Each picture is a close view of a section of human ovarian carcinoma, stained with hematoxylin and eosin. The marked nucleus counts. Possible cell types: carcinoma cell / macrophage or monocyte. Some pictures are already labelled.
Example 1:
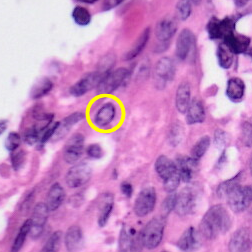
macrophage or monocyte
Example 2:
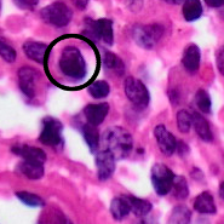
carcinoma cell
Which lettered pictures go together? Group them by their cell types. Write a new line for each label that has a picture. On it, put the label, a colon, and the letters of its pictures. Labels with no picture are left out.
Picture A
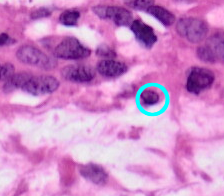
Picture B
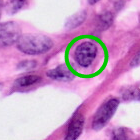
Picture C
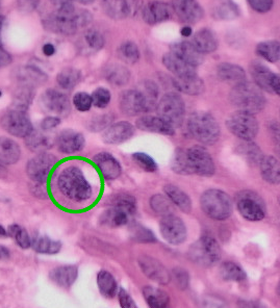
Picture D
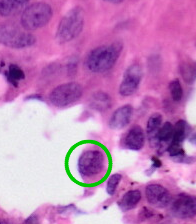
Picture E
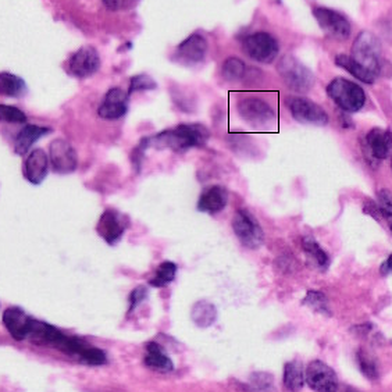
carcinoma cell: C, D, E
macrophage or monocyte: A, B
